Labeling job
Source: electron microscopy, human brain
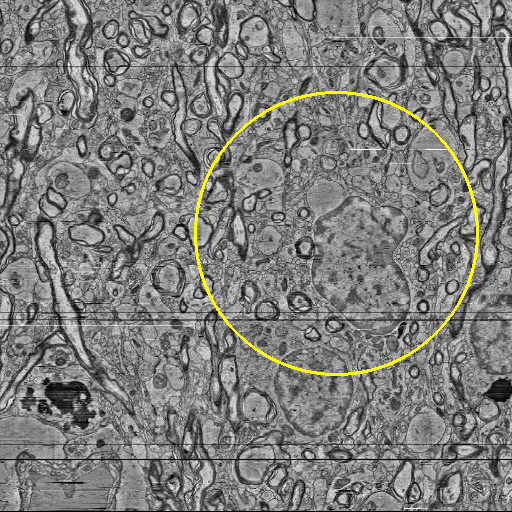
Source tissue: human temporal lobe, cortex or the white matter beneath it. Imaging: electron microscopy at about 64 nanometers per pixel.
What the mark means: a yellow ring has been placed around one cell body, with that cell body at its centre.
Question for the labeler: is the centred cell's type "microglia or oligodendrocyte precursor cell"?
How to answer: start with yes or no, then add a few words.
Yes, that is its type.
